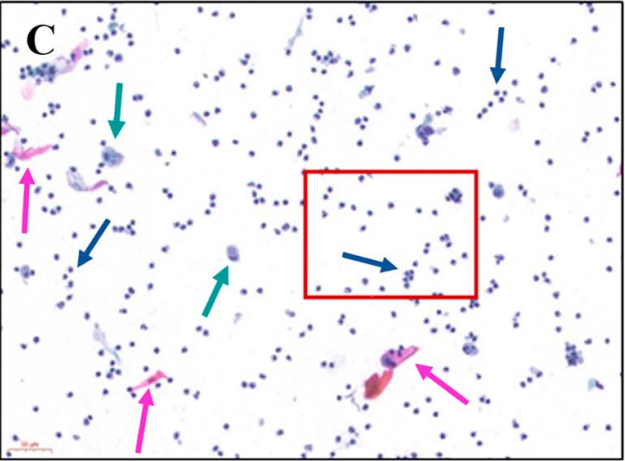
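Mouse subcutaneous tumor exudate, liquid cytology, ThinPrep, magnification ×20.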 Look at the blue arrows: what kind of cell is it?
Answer: Polymorphonuclear cells.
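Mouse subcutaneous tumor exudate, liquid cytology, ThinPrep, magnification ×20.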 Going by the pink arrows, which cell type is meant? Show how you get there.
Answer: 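The marked objects are elongated, flattened and stained pink to red. They lack a clear, well-preserved nucleus.
Conclusion: dead epithelial cells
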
